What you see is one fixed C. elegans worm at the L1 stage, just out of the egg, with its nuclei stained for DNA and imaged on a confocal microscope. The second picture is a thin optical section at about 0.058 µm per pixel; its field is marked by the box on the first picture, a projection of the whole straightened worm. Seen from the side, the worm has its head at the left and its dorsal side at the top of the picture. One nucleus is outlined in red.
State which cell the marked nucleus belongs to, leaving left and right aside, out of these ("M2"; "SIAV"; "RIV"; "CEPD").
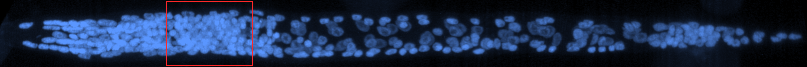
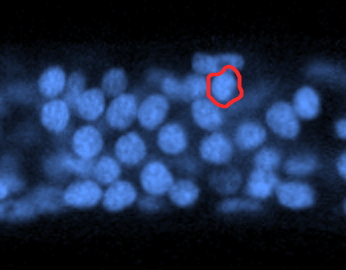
RIV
